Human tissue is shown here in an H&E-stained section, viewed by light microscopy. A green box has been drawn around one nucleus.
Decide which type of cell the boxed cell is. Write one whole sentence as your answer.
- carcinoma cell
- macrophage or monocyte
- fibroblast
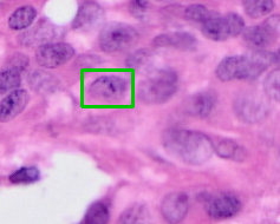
Speaking plainly, the boxed cell is nothing other than a macrophage or monocyte.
